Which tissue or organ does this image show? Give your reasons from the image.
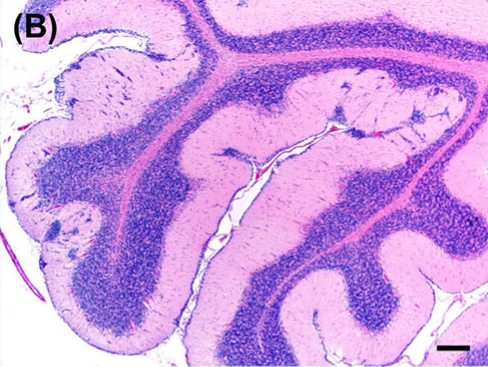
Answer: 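Cerebellum. Branching folia with a pale pink central core. A dense dark purple cellular layer lines each core. A broad pale pink outer layer lies under the surface.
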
